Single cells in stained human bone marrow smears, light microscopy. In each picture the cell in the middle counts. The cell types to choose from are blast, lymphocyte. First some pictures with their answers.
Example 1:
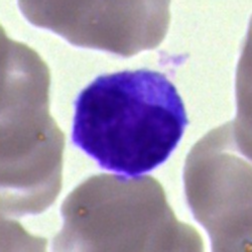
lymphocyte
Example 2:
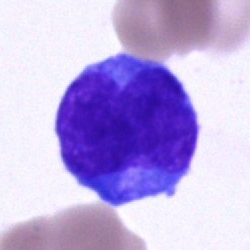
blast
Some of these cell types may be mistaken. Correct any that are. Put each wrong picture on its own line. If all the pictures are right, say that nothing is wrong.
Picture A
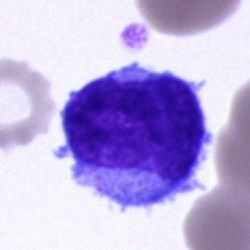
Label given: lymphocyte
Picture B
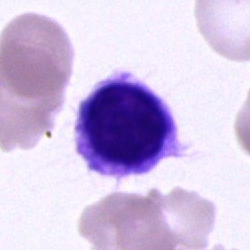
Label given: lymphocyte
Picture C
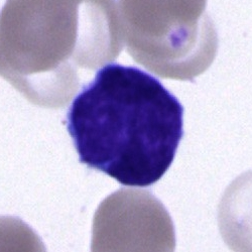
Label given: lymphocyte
A is labelled lymphocyte; correct label: blast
